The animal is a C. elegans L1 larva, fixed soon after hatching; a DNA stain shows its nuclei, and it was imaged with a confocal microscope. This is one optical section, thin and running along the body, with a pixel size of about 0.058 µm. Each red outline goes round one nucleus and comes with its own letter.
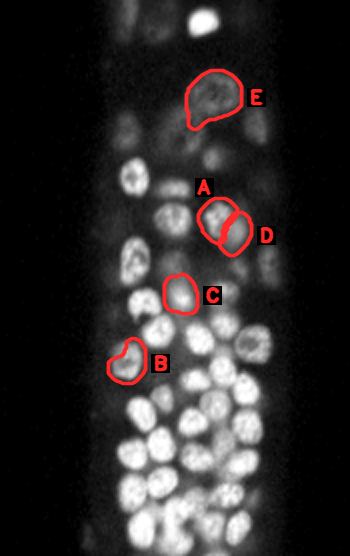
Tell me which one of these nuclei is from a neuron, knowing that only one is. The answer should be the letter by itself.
C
